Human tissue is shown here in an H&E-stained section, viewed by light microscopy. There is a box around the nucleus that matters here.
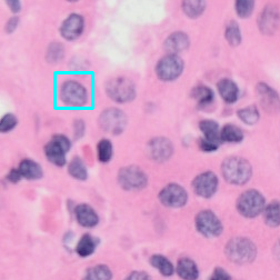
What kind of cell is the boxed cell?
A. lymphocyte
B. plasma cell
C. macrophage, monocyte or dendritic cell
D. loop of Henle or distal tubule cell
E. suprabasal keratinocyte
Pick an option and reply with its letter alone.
D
